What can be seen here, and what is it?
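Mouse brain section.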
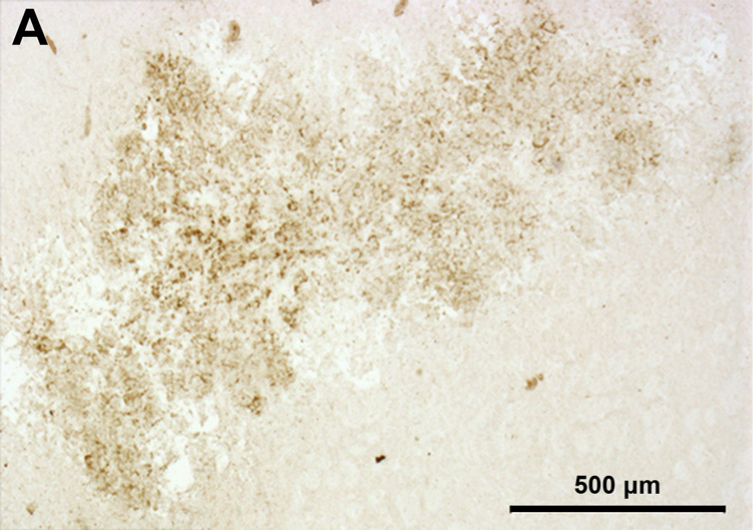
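The stain is granular and speckled, and it gathers in dense, irregular patches that merge into a broad, roughly lobulated region. Between and around these patches the tissue is pale beige and largely unstained. At this magnification single cells can hardly be told apart; the mass is seen mainly as clustered brown dots. The edge of the stained region is ragged rather than sharply bounded, with smaller brown islands lying apart from the main mass.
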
